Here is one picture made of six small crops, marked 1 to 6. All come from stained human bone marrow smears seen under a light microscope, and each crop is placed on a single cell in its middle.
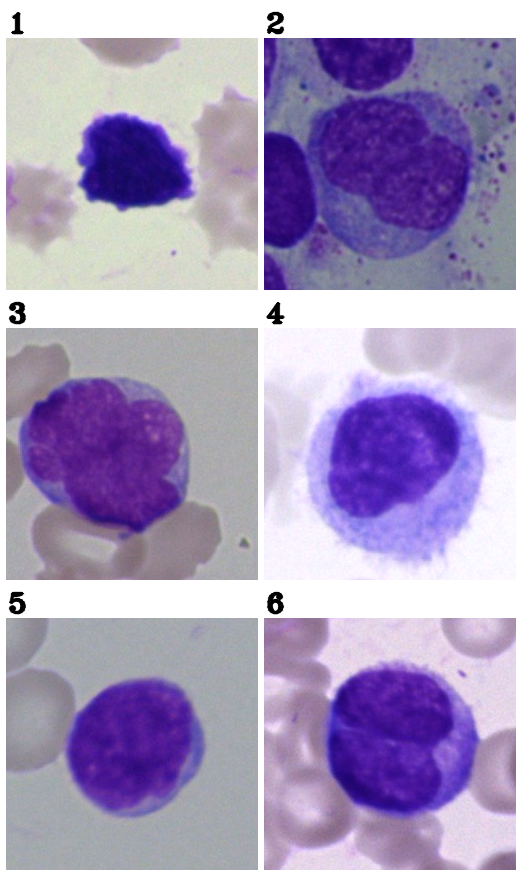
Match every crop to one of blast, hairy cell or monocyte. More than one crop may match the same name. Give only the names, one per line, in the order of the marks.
blast
monocyte
blast
hairy cell
blast
monocyte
